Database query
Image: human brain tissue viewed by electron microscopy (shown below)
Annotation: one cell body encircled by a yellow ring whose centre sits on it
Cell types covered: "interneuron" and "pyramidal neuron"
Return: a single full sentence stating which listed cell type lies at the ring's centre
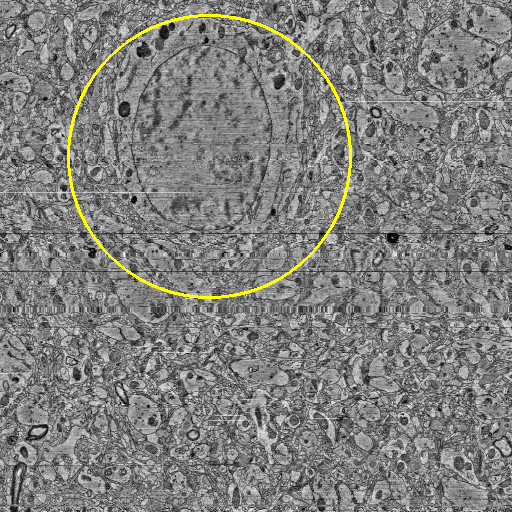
In the image, the cell lying at the ring's centre is a pyramidal neuron.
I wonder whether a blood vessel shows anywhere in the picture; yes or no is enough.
No, no vessel appears in the picture.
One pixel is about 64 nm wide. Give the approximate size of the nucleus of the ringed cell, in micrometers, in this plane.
In this plane the nucleus measures roughly 13 by 9 micrometers.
